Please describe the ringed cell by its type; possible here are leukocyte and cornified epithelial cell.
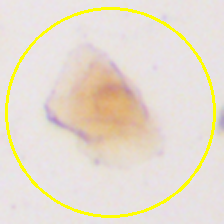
The yellow ring marks a cornified epithelial cell.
